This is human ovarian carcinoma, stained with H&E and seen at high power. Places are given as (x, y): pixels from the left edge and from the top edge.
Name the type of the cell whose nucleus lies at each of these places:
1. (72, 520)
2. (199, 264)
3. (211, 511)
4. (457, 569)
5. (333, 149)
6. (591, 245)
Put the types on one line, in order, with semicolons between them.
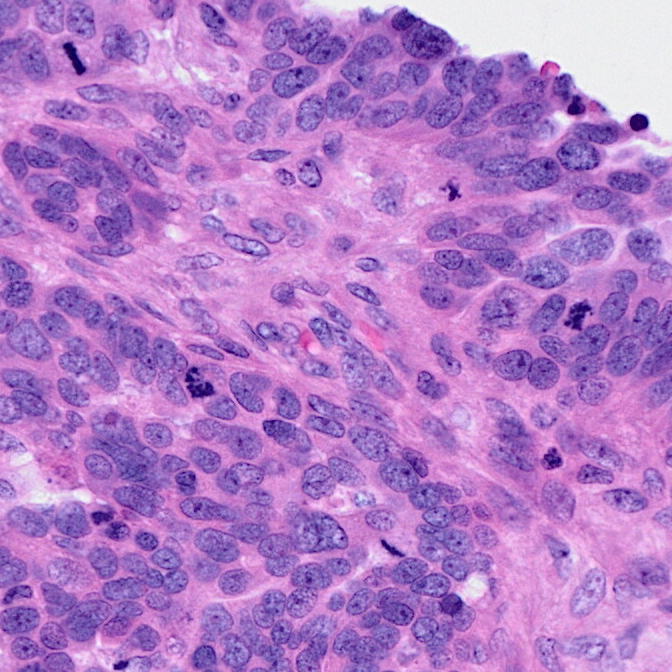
carcinoma cell; fibroblast; carcinoma cell; carcinoma cell; fibroblast; carcinoma cell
